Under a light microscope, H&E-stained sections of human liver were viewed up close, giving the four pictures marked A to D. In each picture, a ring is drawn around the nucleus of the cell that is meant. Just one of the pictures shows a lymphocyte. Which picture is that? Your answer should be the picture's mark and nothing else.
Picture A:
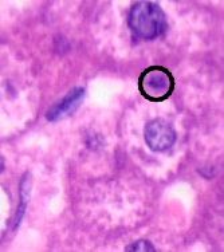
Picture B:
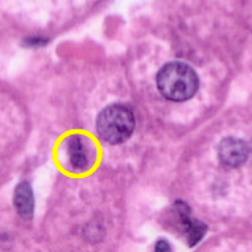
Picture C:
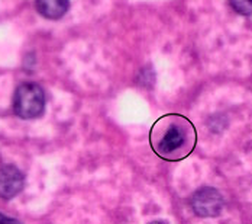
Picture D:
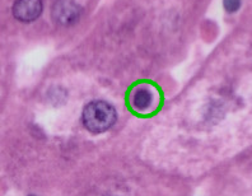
D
